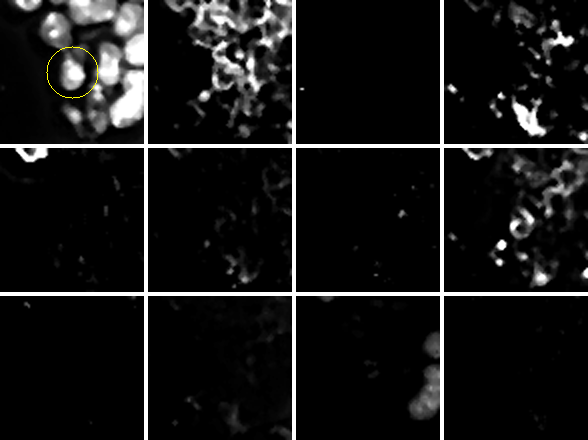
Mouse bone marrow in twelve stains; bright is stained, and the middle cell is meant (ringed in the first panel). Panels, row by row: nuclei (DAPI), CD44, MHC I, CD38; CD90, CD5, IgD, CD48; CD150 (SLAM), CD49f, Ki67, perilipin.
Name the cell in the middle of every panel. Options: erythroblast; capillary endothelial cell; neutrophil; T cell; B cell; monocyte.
monocyte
